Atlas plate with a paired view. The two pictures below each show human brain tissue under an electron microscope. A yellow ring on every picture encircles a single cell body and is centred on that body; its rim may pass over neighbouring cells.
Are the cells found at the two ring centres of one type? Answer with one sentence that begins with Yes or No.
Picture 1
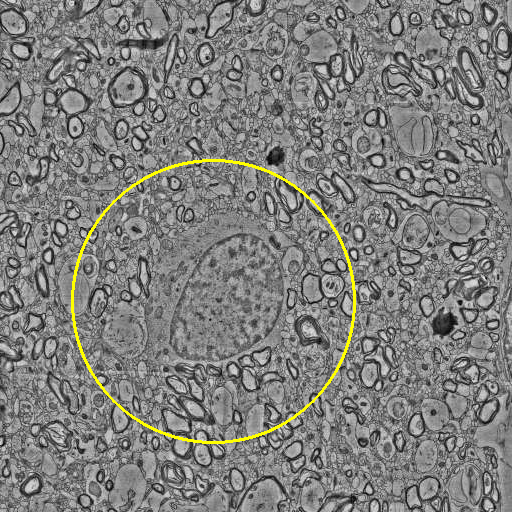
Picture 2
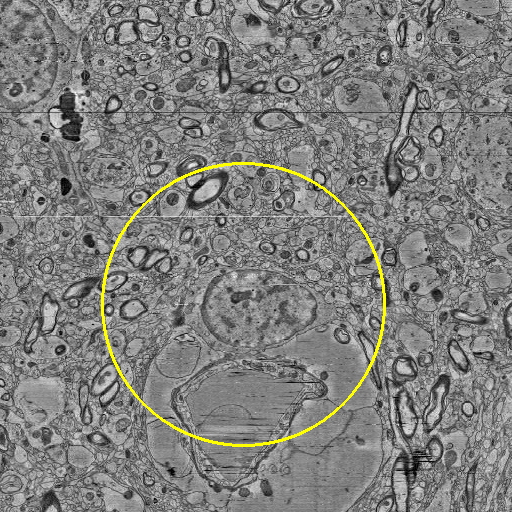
Yes, the two cells lying at the centres of the rings share a single type.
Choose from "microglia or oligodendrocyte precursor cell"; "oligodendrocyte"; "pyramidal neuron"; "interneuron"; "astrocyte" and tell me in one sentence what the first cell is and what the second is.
Both cells are the same kind, each one being an oligodendrocyte.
